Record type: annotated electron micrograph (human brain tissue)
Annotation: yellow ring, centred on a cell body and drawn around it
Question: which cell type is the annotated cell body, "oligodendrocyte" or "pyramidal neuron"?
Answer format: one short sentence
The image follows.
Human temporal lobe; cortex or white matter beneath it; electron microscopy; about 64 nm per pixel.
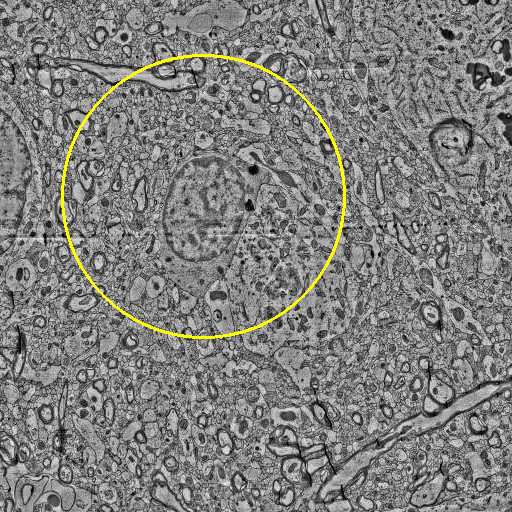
The annotated cell body is that of an oligodendrocyte.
